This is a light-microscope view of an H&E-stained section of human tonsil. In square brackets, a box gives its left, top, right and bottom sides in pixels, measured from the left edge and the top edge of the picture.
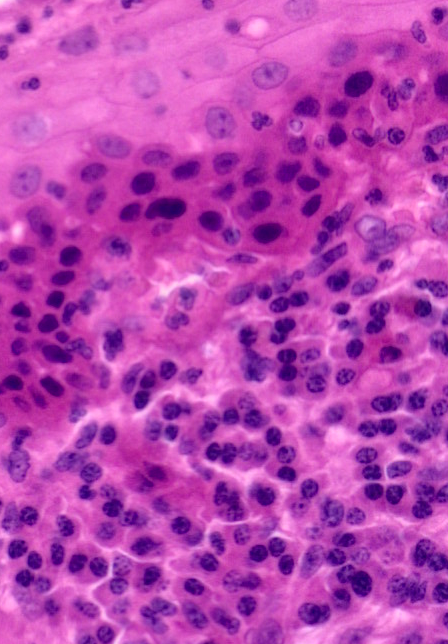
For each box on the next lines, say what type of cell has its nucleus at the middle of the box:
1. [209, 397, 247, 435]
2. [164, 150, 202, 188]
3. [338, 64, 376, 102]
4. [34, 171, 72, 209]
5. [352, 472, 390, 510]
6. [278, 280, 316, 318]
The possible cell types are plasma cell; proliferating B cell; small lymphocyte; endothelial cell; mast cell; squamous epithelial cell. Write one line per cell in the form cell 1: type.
cell 1: plasma cell
cell 2: squamous epithelial cell
cell 3: squamous epithelial cell
cell 4: squamous epithelial cell
cell 5: plasma cell
cell 6: plasma cell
